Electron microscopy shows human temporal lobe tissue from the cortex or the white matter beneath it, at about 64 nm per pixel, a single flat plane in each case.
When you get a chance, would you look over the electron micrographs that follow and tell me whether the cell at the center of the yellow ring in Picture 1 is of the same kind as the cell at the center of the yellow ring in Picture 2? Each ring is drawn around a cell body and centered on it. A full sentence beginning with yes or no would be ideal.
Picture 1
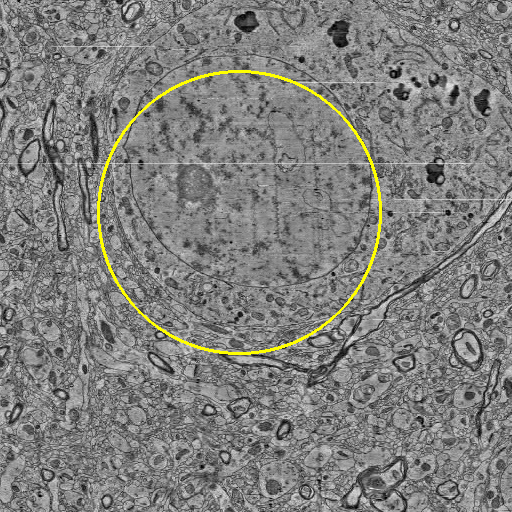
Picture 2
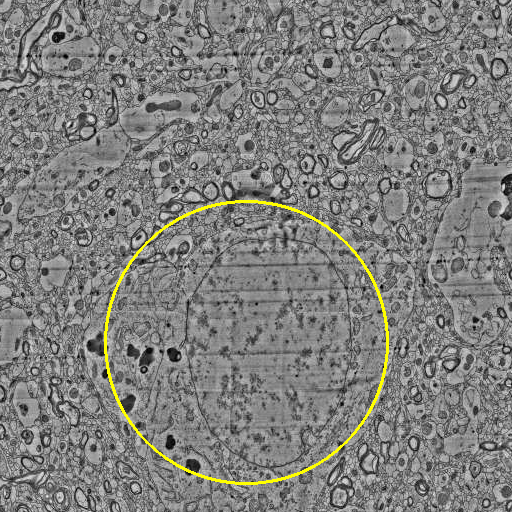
Yes, the two cells are of the same kind.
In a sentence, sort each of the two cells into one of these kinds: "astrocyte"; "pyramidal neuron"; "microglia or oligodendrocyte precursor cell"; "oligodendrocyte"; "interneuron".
Both the first and the second picture show a pyramidal neuron in the ring.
